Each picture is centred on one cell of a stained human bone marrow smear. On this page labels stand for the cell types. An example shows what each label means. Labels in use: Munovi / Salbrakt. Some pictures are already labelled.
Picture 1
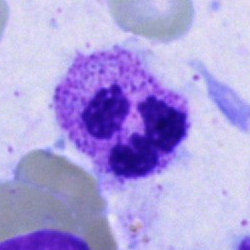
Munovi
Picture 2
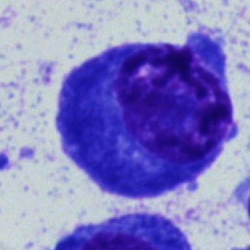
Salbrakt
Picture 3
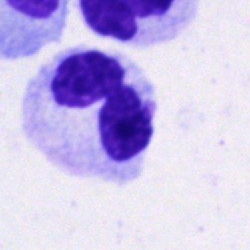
Munovi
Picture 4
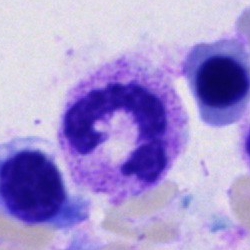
Munovi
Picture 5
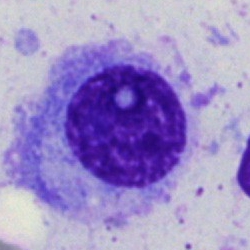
Salbrakt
